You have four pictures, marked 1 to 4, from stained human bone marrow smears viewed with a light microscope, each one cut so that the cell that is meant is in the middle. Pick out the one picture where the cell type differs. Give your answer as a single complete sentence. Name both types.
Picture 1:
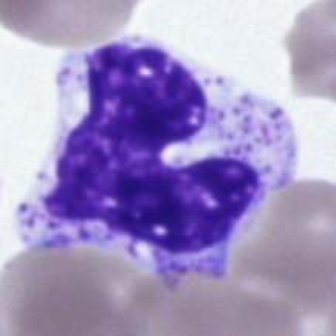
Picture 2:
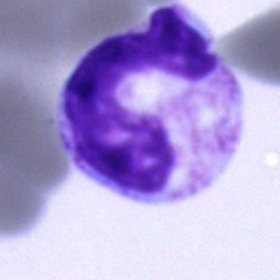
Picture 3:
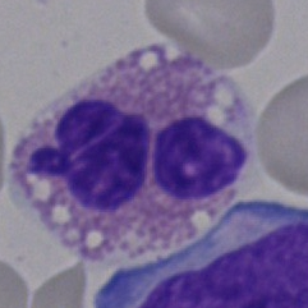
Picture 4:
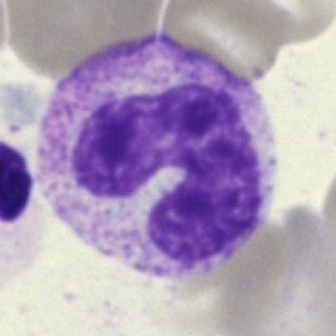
The different one is picture 3; it shows an eosinophil, whereas all the others show band neutrophils.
